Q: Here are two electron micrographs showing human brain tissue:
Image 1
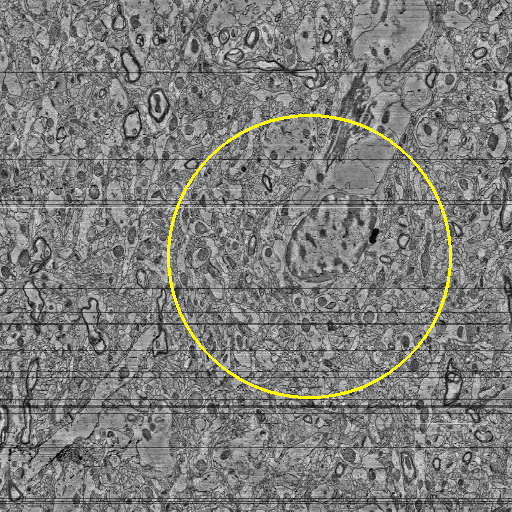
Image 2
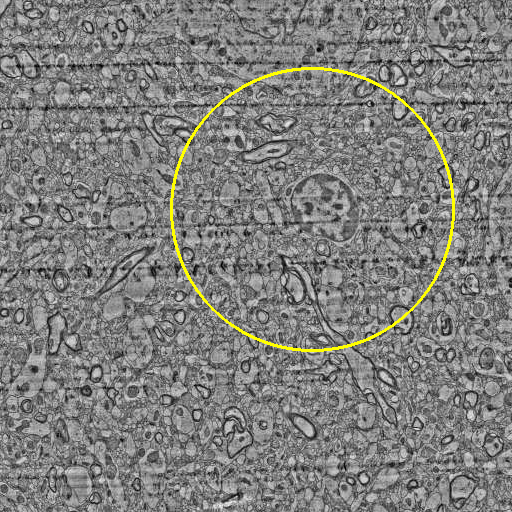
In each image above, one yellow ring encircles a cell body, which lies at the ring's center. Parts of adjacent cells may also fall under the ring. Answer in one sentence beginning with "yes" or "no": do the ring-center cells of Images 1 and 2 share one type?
Yes, in Images 1 and 2, the ring-center cells are both of one type.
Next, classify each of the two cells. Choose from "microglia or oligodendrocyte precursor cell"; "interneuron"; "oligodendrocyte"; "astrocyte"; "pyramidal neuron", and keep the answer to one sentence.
The ring centre holds a microglial cell or oligodendrocyte precursor cell in each of the two pictures.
